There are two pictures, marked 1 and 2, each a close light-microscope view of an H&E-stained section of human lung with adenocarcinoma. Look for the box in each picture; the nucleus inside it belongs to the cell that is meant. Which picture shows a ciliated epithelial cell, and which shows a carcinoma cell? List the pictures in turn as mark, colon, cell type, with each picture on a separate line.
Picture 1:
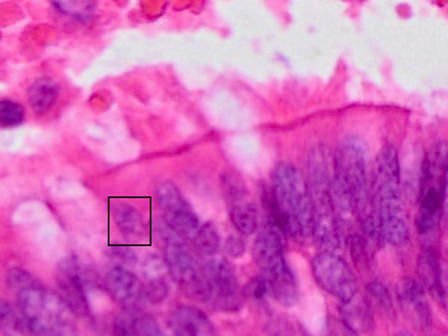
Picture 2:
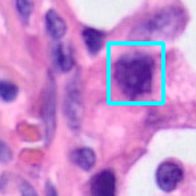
1: ciliated epithelial cell
2: carcinoma cell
